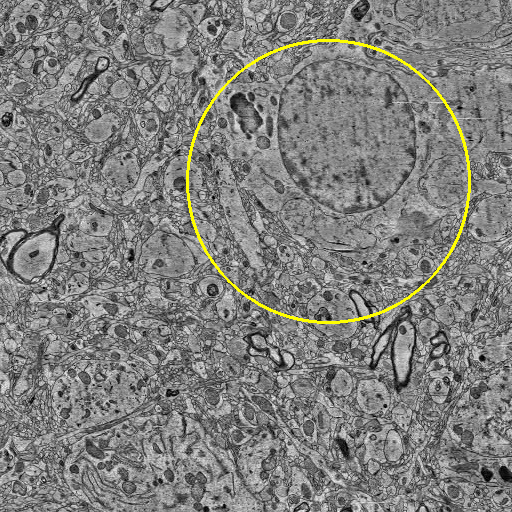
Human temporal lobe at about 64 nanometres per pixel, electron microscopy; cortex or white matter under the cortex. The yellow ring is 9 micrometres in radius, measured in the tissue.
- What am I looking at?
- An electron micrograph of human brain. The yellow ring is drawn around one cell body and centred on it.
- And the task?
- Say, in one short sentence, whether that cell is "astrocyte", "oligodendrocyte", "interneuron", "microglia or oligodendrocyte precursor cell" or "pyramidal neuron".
The cell in the middle of the ring is an astrocyte.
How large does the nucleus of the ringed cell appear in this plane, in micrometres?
The nucleus is approximately 10 micrometers long by 9 micrometers wide in this plane.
